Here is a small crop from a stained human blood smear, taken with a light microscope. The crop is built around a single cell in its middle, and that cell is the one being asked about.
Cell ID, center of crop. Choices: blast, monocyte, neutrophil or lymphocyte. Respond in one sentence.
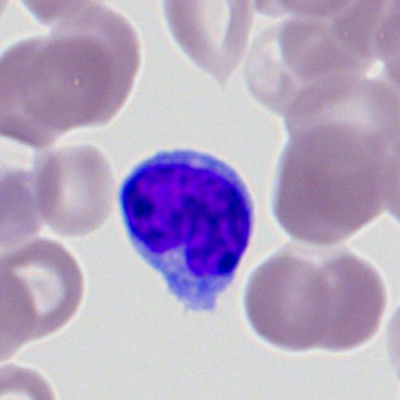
As for the central cell, it is a lymphocyte.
